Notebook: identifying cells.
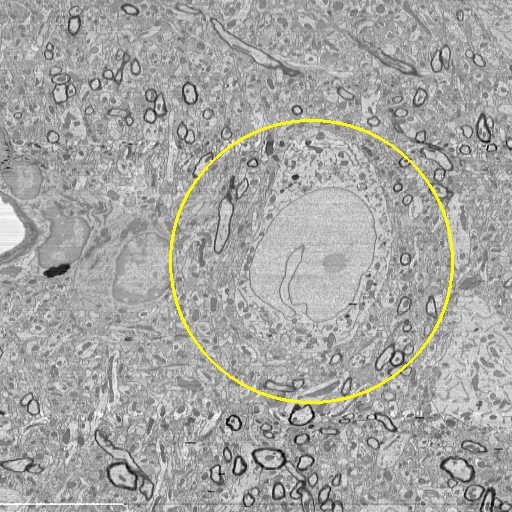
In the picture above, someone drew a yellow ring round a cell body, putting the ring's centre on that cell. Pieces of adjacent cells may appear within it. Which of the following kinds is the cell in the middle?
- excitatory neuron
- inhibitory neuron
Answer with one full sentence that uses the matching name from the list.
In this picture, the yellow ring is centred on the body of an inhibitory neuron.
